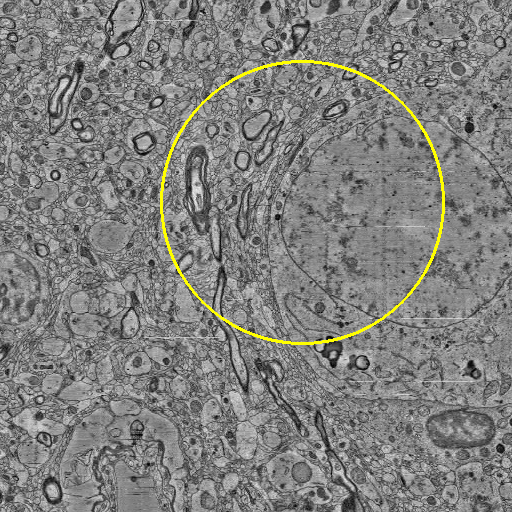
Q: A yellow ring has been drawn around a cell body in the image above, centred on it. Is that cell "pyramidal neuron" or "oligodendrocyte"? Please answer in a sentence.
The ring surrounds the cell body of a pyramidal neuron.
